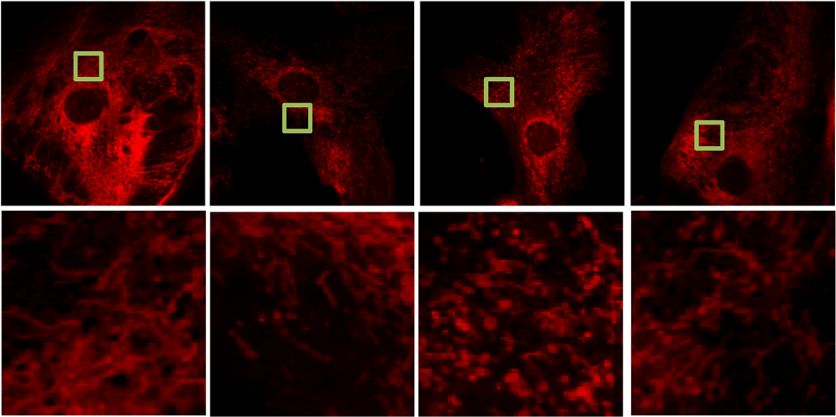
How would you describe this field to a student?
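Four flat, spread cultured cells are shown in an upper row, with enlargements of small boxed areas of each in a lower row. In three of the cells the mitochondria are mostly long, thread-like and branching. In the third cell they are broken up into many short dots and fragments.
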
